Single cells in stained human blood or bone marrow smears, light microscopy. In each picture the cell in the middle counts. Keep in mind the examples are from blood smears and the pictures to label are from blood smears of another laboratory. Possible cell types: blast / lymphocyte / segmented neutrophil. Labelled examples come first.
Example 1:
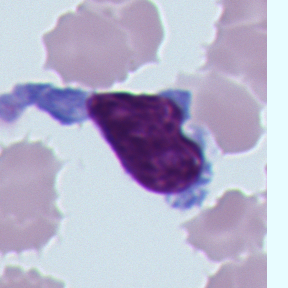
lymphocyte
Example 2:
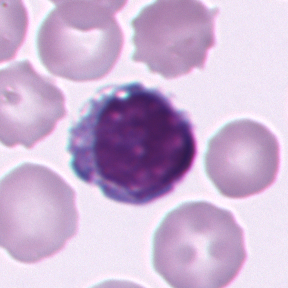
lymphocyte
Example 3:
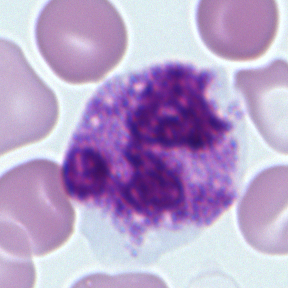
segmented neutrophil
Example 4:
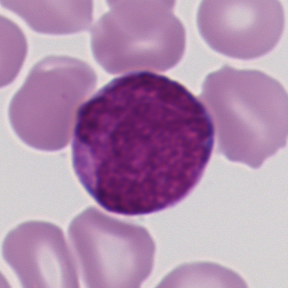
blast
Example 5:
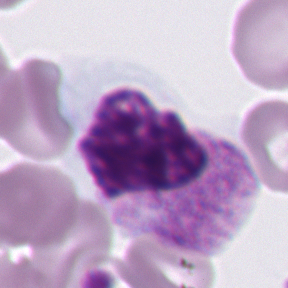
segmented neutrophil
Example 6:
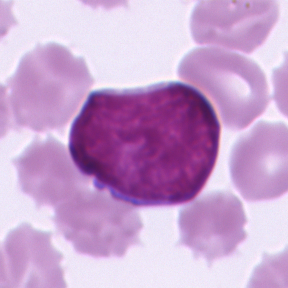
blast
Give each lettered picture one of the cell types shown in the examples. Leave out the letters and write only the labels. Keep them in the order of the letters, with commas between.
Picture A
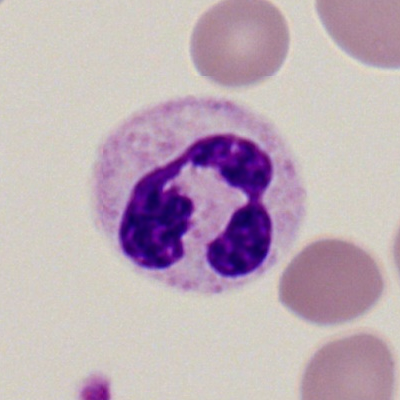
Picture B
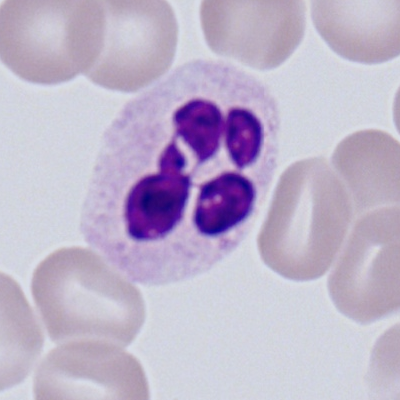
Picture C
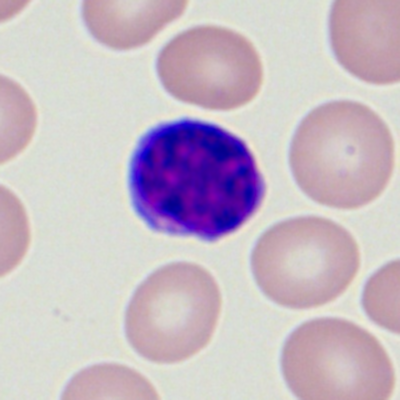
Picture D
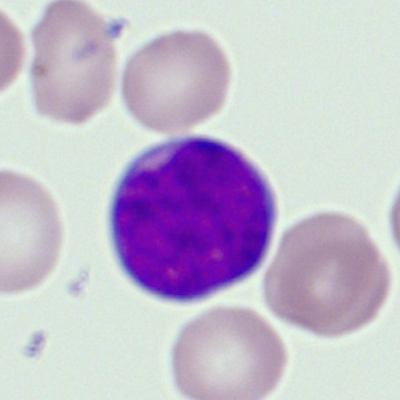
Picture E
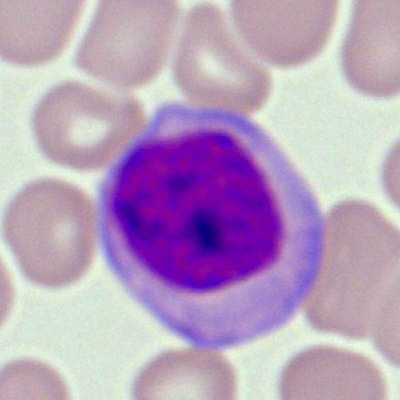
segmented neutrophil, segmented neutrophil, lymphocyte, blast, blast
